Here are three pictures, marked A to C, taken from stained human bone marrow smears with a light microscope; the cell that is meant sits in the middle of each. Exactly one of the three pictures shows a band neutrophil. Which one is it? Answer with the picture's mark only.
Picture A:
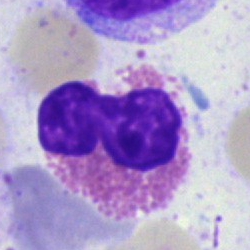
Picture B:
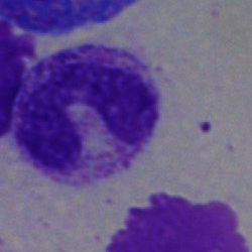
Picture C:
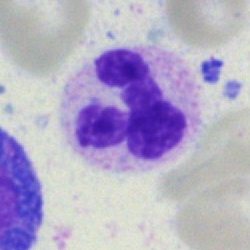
B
